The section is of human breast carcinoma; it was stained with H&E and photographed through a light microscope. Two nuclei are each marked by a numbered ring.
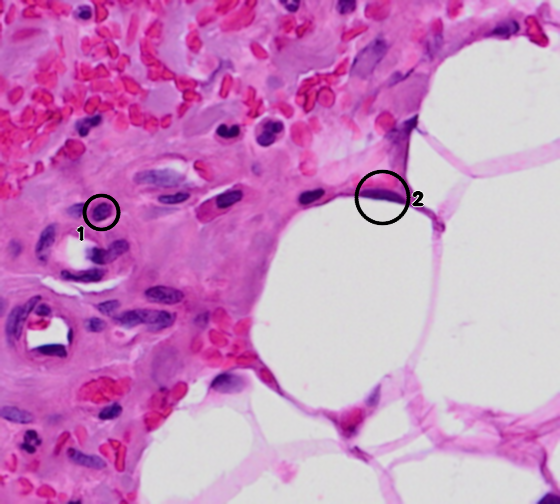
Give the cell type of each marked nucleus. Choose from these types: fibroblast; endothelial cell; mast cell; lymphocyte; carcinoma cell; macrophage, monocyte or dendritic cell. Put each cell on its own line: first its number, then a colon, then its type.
1: mast cell
2: endothelial cell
